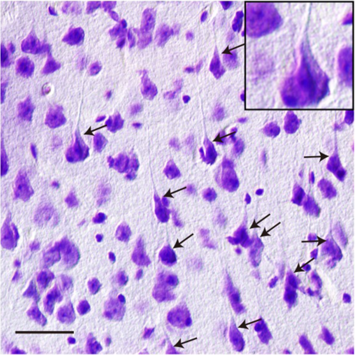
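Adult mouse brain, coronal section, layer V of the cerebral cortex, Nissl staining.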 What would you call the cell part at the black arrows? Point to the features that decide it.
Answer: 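Apical dendrites. The arrows point to tapering purple processes that extend from the apex of cell bodies. The processes leave triangular cell bodies and run in a roughly shared direction.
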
